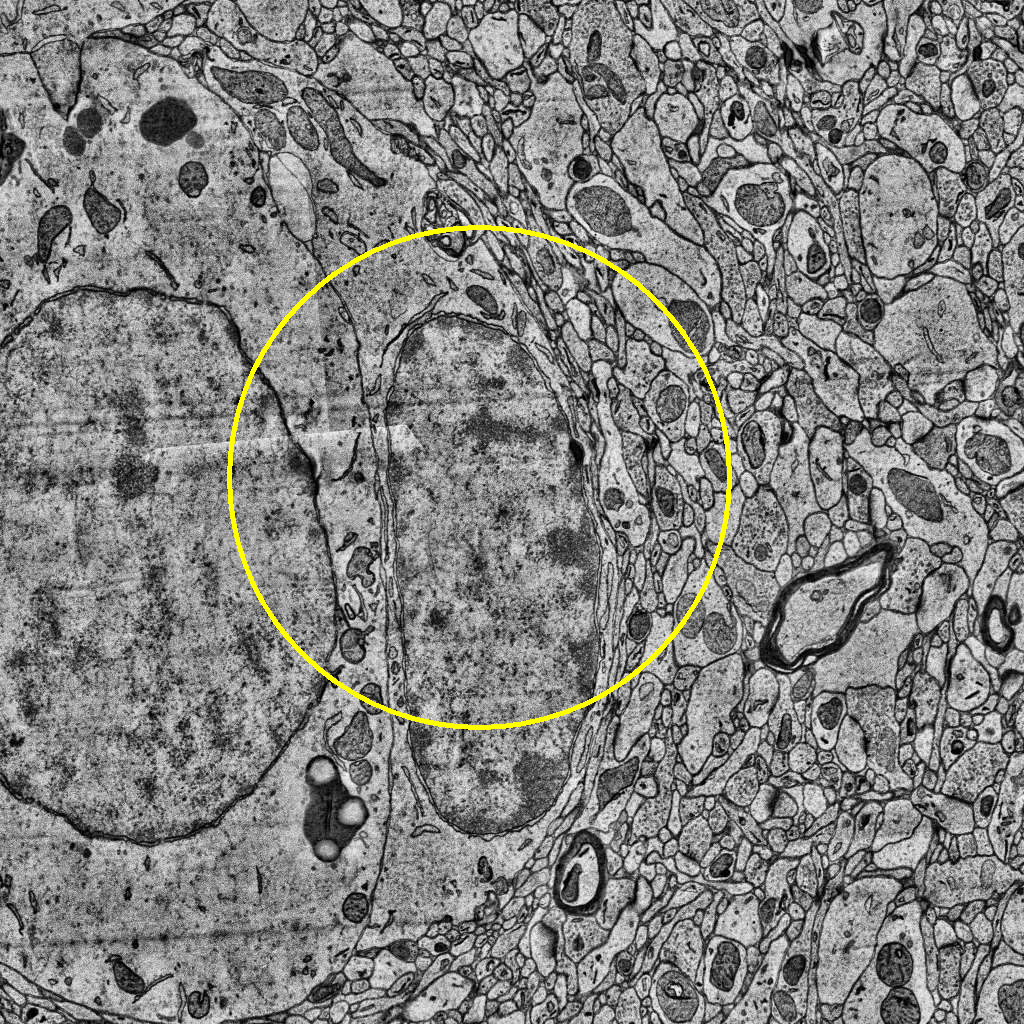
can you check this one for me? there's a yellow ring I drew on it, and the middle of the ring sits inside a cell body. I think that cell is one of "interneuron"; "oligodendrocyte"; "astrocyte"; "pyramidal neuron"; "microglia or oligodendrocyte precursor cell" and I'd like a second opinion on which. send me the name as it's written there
microglia or oligodendrocyte precursor cell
